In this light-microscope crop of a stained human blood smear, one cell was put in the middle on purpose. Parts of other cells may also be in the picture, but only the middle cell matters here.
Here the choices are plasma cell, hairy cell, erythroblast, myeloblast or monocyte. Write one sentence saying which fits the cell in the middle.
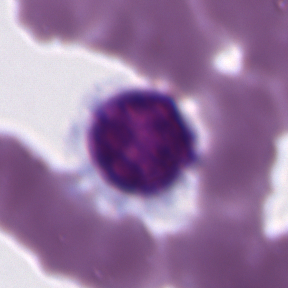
The central cell, amid any neighbouring cells, is a hairy cell.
